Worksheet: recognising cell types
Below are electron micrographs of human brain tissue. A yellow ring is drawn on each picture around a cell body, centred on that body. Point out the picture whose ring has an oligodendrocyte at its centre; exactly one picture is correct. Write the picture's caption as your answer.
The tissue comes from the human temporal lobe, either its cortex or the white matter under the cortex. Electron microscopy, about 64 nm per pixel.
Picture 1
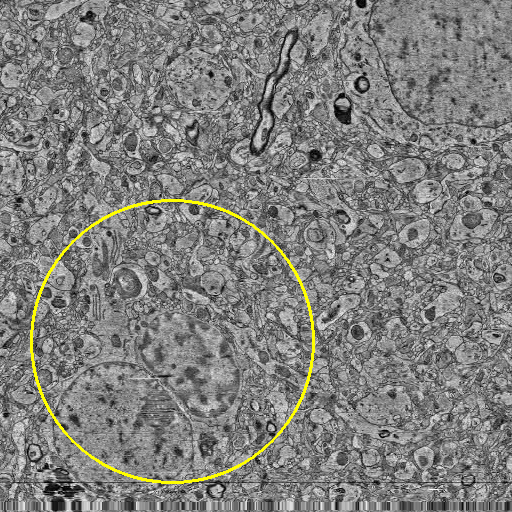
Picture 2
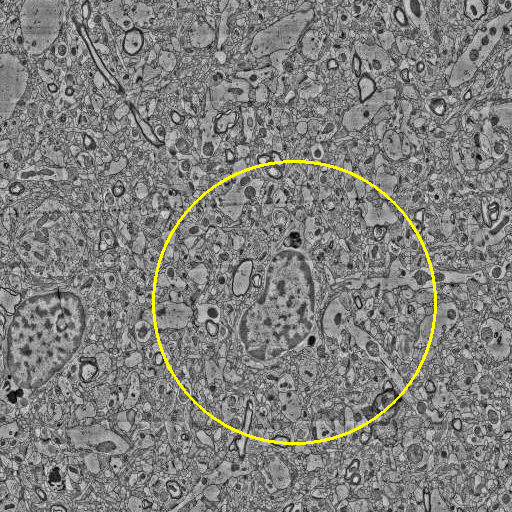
Picture 1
